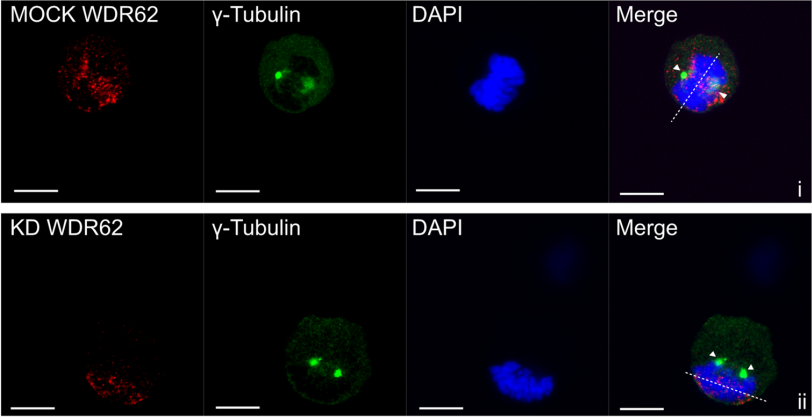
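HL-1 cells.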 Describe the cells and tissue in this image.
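Rounded cells in mitosis, each with a compact mass of condensed blue chromosomes and two small, bright green foci at the spindle poles, with a fine red punctate signal scattered through the cytoplasm. In the upper row the two green foci lie on opposite sides of the chromosome mass, whereas in the lower row both green foci lie together on the same side of it.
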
